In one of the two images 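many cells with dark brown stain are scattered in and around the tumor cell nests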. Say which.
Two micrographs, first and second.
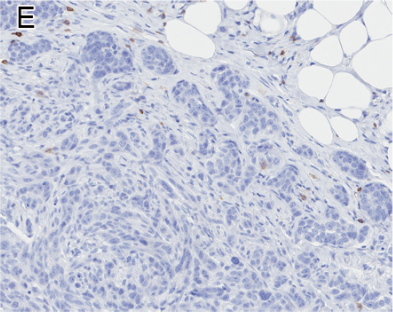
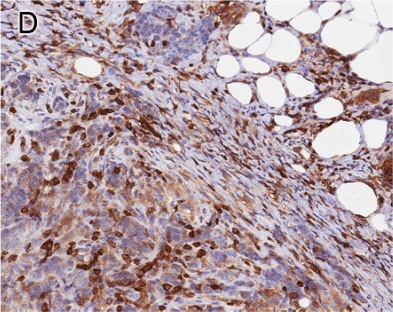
the second image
